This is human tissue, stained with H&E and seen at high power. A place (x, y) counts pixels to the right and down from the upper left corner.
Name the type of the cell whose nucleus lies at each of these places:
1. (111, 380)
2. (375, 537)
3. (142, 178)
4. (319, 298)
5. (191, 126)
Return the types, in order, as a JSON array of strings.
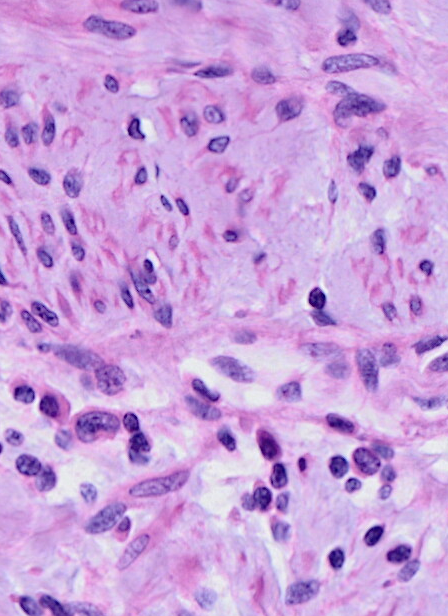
["macrophage or monocyte", "lymphocyte", "smooth muscle cell", "lymphocyte", "smooth muscle cell"]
